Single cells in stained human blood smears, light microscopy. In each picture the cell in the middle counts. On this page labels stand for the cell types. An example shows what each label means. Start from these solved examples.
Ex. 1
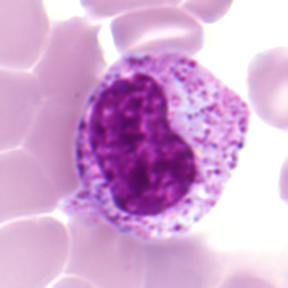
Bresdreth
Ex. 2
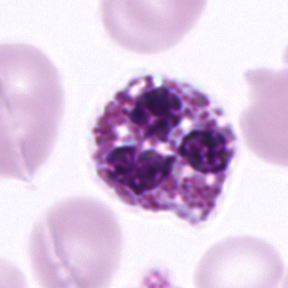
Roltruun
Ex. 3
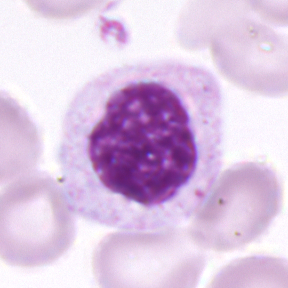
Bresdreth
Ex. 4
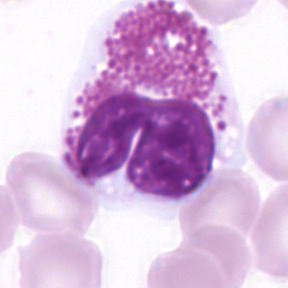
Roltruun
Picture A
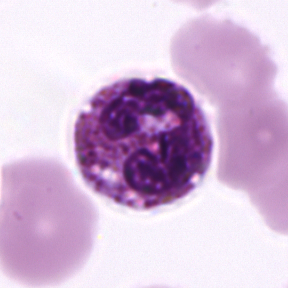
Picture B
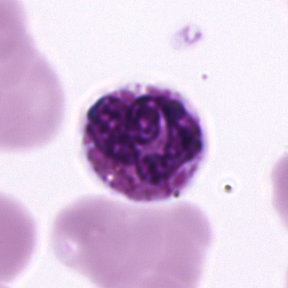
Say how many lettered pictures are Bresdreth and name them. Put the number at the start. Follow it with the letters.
0, none of them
